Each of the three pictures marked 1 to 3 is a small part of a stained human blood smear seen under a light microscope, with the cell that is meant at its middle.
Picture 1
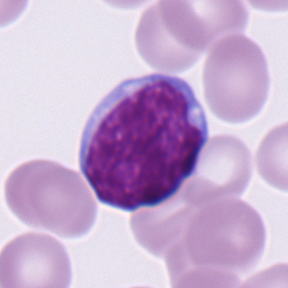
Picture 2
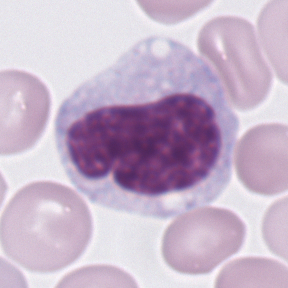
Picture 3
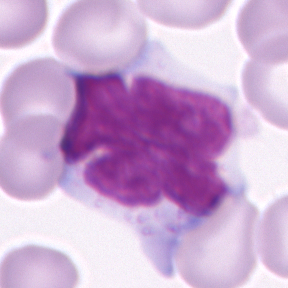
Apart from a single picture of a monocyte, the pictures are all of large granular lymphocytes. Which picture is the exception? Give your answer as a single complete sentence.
The monocyte is the one in picture 2.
